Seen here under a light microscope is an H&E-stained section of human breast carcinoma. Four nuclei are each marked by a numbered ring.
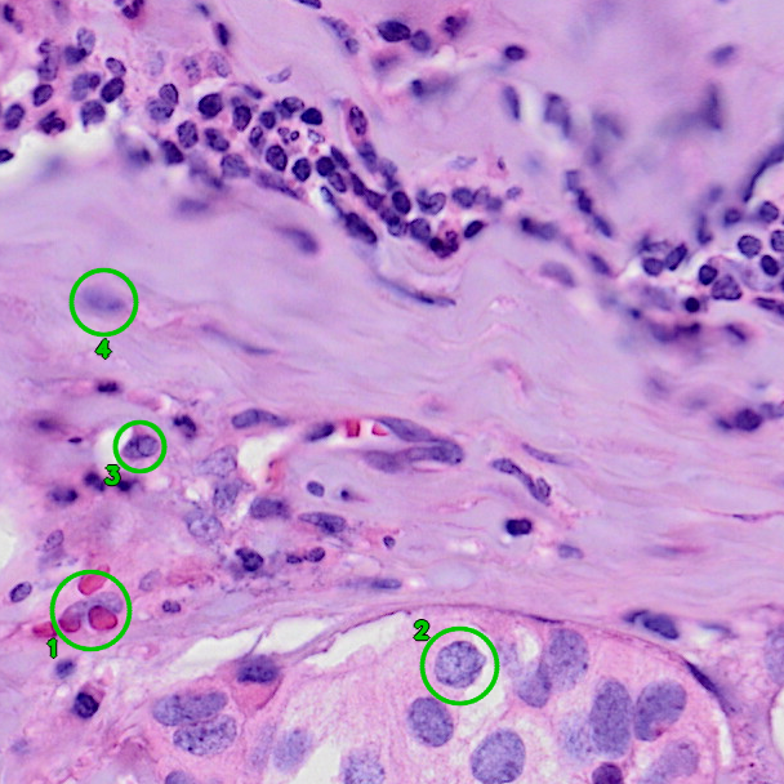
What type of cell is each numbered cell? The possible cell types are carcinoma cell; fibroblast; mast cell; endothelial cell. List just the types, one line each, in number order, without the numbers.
endothelial cell
carcinoma cell
mast cell
fibroblast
